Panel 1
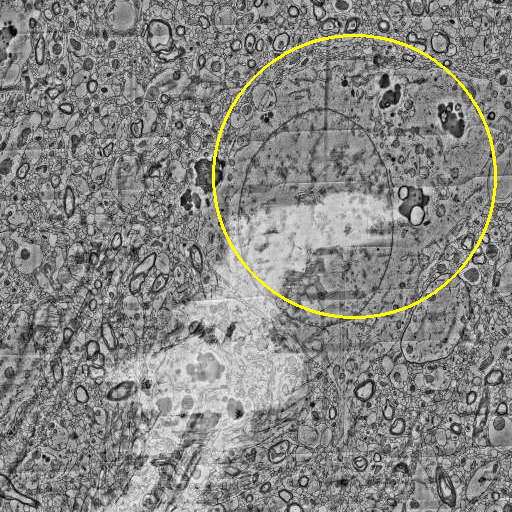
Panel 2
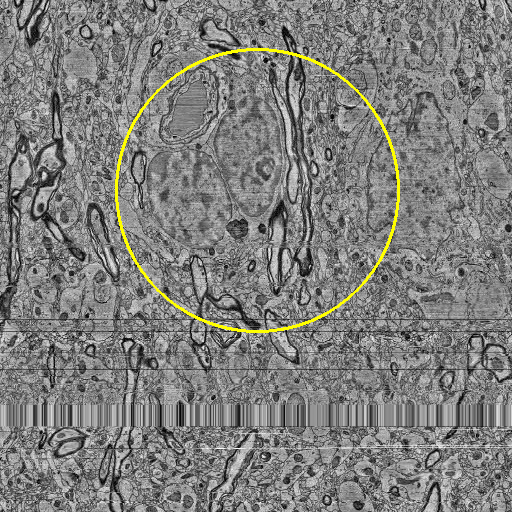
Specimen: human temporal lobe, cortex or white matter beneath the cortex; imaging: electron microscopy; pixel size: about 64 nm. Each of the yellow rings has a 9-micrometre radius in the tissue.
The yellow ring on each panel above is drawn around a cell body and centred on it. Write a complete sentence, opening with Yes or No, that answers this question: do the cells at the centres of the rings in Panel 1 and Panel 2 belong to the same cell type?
No, the two cells belong to two cell types.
